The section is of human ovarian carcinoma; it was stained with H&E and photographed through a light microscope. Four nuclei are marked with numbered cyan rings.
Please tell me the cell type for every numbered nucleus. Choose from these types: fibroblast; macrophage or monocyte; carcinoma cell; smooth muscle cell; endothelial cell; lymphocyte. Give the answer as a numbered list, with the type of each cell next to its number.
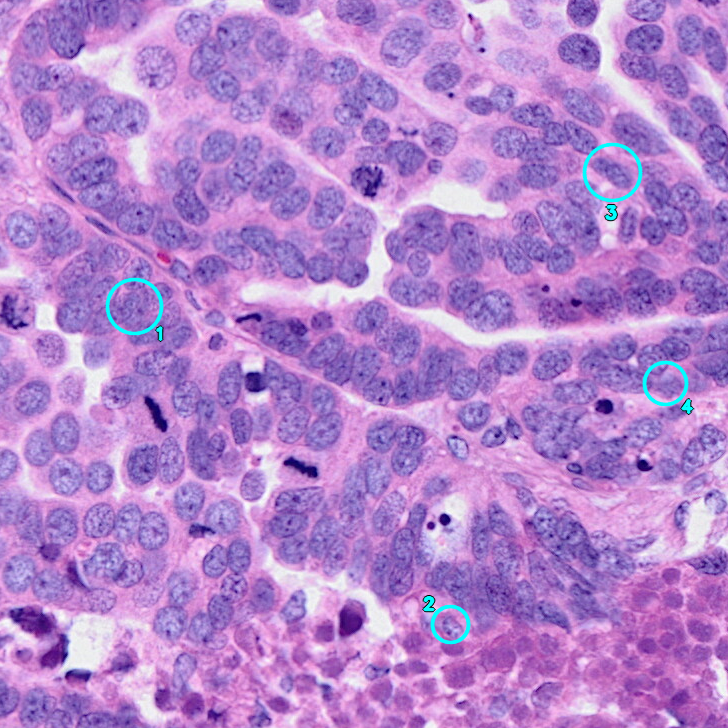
1. carcinoma cell
2. macrophage or monocyte
3. carcinoma cell
4. carcinoma cell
